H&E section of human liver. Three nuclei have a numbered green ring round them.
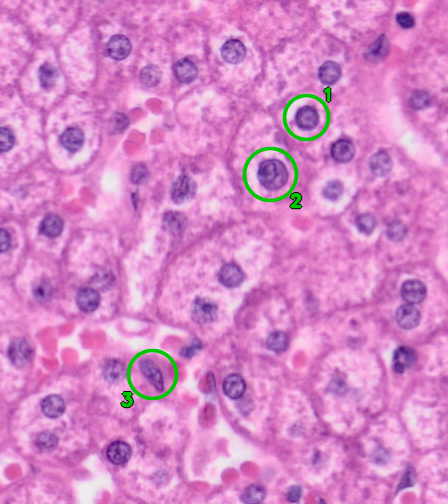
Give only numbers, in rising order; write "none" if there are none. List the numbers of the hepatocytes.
1, 2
